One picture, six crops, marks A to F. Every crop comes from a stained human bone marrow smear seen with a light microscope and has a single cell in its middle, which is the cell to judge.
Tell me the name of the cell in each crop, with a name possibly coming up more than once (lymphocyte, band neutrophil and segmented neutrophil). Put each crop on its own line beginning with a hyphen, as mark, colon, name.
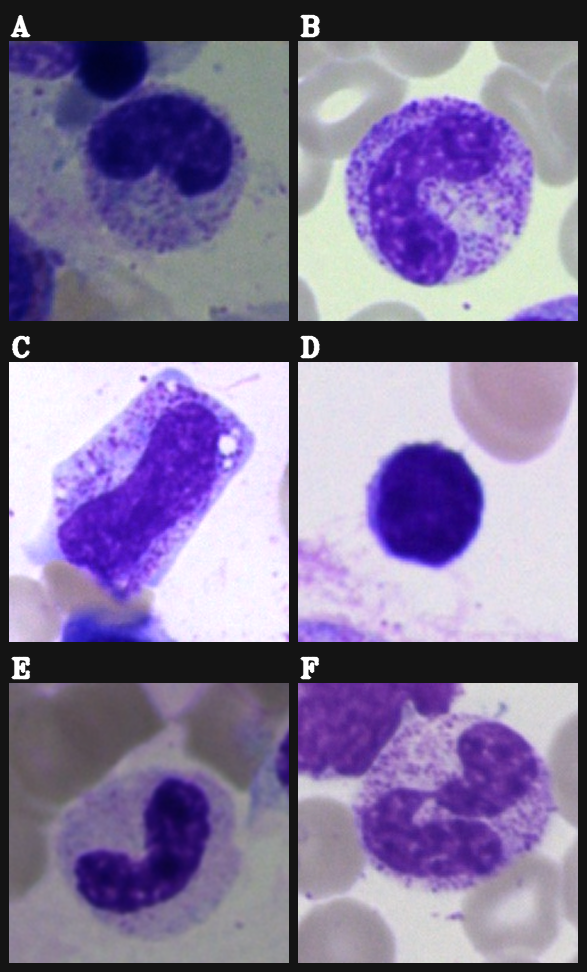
- A: band neutrophil
- B: band neutrophil
- C: band neutrophil
- D: lymphocyte
- E: band neutrophil
- F: segmented neutrophil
